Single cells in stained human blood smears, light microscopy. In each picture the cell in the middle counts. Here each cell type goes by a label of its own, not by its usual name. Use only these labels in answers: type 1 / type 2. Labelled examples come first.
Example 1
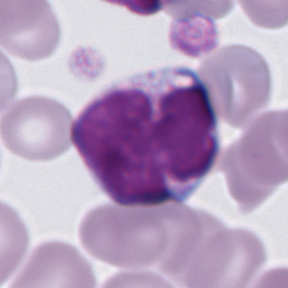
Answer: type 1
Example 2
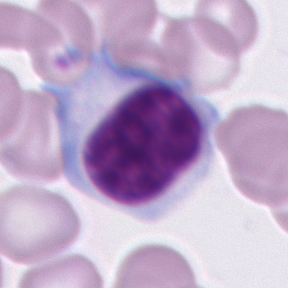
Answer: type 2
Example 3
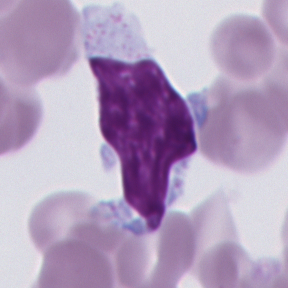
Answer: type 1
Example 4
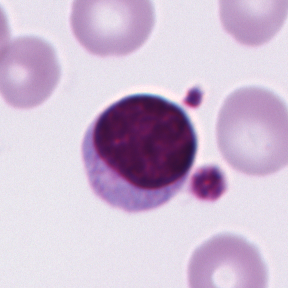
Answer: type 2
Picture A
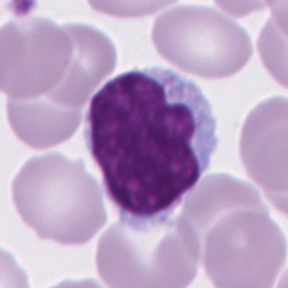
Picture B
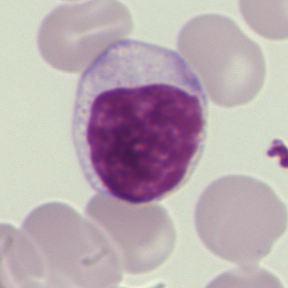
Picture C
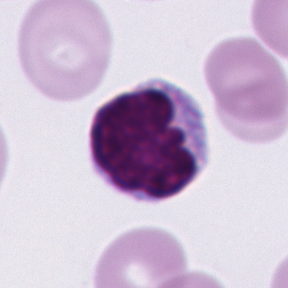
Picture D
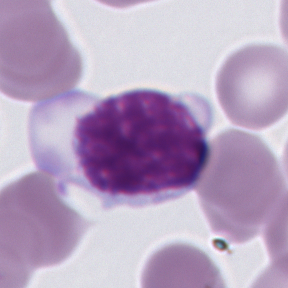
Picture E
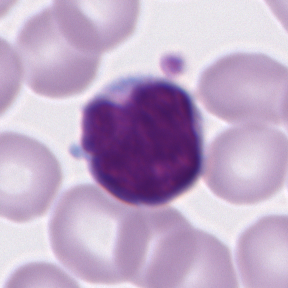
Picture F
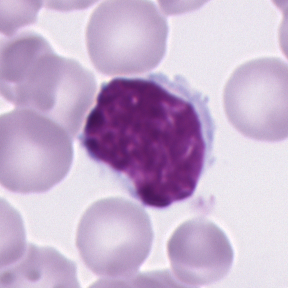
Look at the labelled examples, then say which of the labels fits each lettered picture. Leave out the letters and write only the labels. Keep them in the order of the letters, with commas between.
type 2, type 1, type 2, type 1, type 2, type 2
